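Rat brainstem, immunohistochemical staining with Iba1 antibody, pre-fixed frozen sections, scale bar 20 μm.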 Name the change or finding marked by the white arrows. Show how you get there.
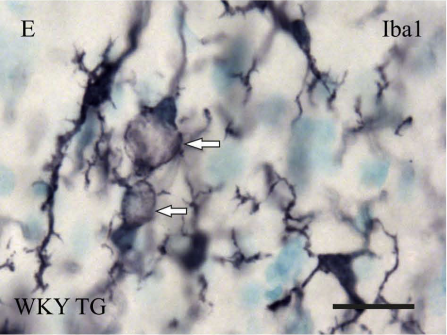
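The arrows point to rounded, cell-sized profiles outlined by dark stain. These profiles lie next to darkly stained branched cells. So: presumptive phagocytosis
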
